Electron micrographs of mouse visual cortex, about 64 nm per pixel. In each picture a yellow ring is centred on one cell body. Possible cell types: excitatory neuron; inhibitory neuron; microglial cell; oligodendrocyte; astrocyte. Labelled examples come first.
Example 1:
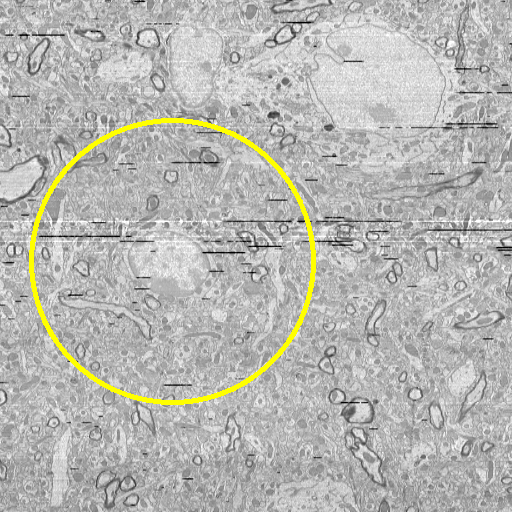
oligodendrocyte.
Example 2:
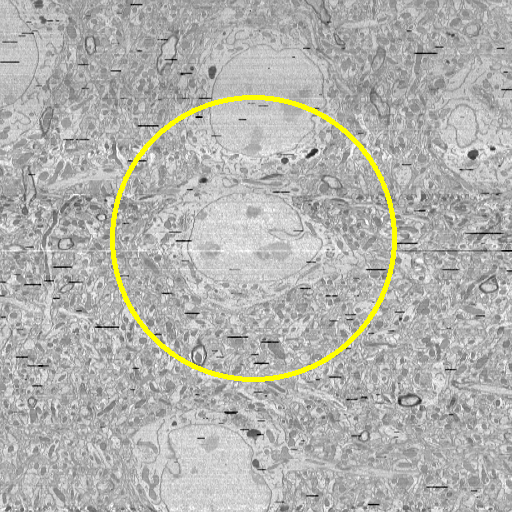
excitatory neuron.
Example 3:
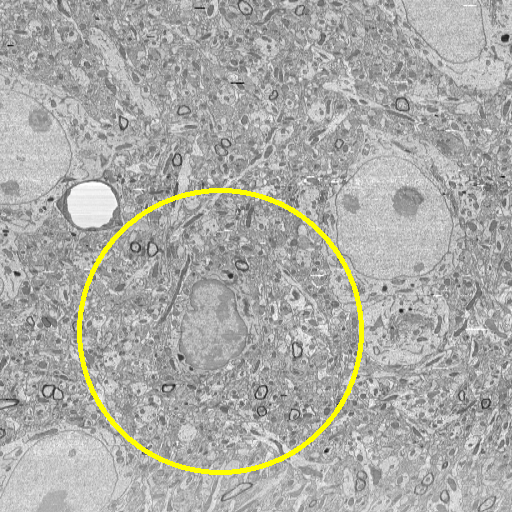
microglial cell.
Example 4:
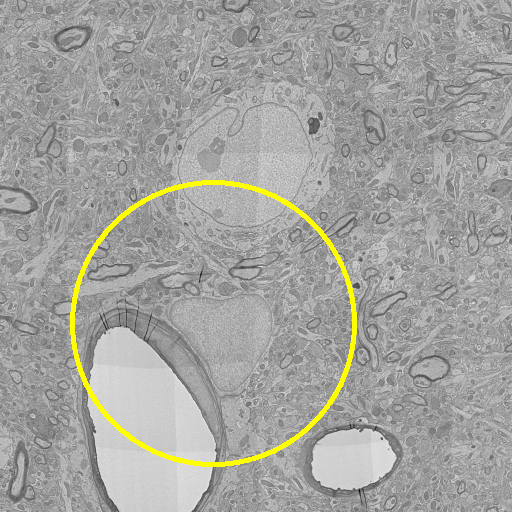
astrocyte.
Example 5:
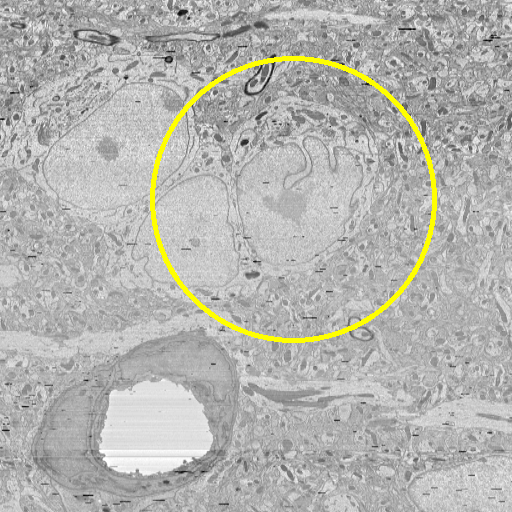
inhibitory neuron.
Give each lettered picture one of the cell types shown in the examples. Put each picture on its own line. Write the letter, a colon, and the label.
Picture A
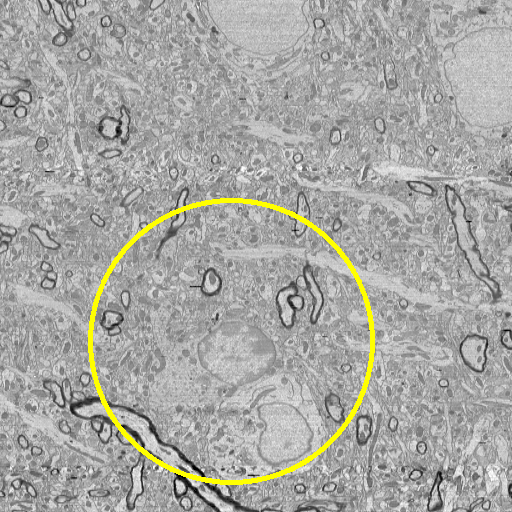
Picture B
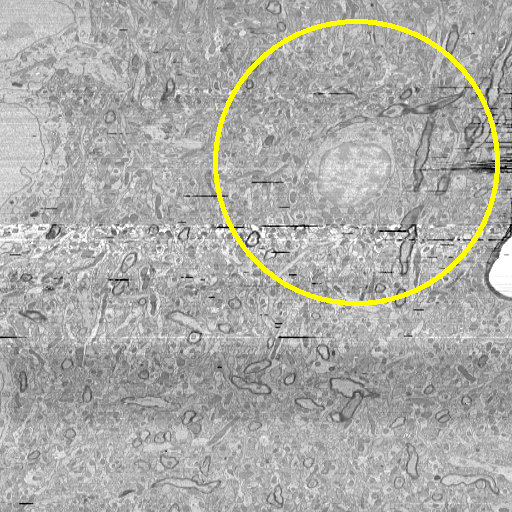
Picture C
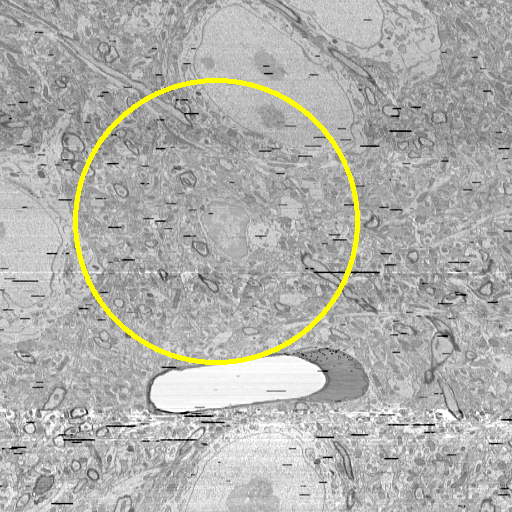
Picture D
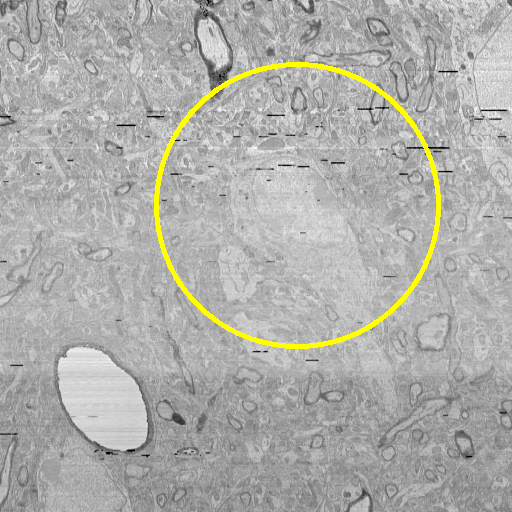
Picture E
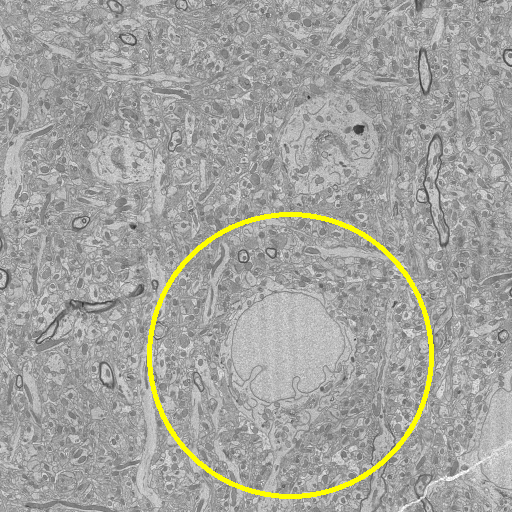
A: oligodendrocyte.
B: oligodendrocyte.
C: microglial cell.
D: oligodendrocyte.
E: inhibitory neuron.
